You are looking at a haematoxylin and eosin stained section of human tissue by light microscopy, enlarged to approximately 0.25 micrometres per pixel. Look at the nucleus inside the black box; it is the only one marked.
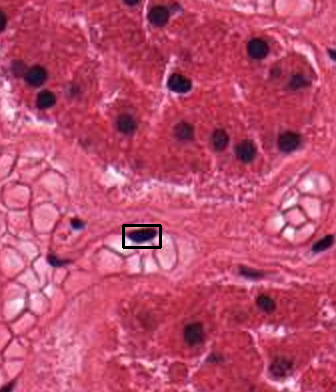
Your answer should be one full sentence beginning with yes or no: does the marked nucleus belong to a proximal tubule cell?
No, the marked nucleus is to be assigned to a supporting cell, not to a proximal tubule cell.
